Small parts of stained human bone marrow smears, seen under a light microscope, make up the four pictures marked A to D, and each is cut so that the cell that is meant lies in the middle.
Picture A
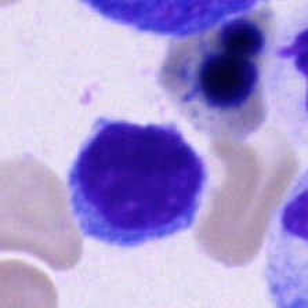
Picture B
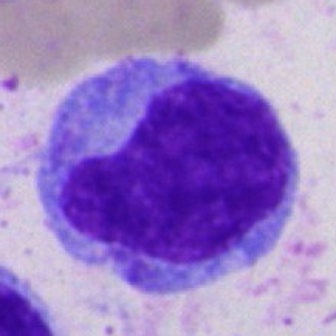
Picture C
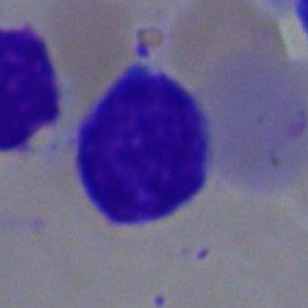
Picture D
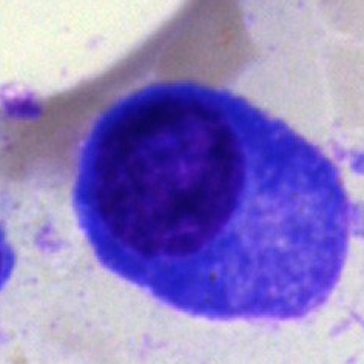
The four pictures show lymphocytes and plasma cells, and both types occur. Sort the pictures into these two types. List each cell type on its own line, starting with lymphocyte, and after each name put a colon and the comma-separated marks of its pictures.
lymphocyte: A, C
plasma cell: B, D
